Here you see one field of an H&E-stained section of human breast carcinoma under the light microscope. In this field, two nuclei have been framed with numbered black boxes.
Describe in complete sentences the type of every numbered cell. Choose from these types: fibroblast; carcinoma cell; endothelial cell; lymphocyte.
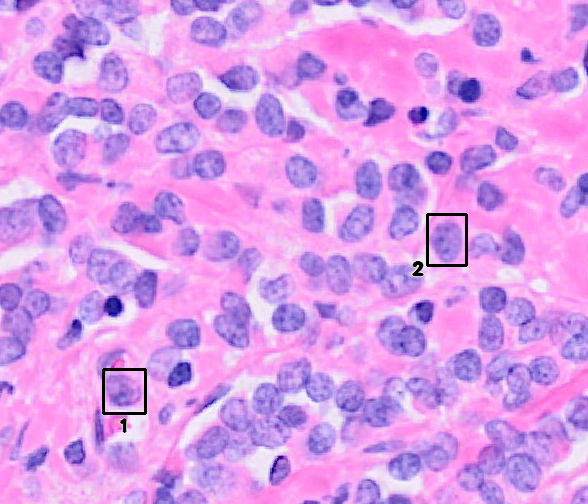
Cell 1 is an endothelial cell and cell 2 is a carcinoma cell.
